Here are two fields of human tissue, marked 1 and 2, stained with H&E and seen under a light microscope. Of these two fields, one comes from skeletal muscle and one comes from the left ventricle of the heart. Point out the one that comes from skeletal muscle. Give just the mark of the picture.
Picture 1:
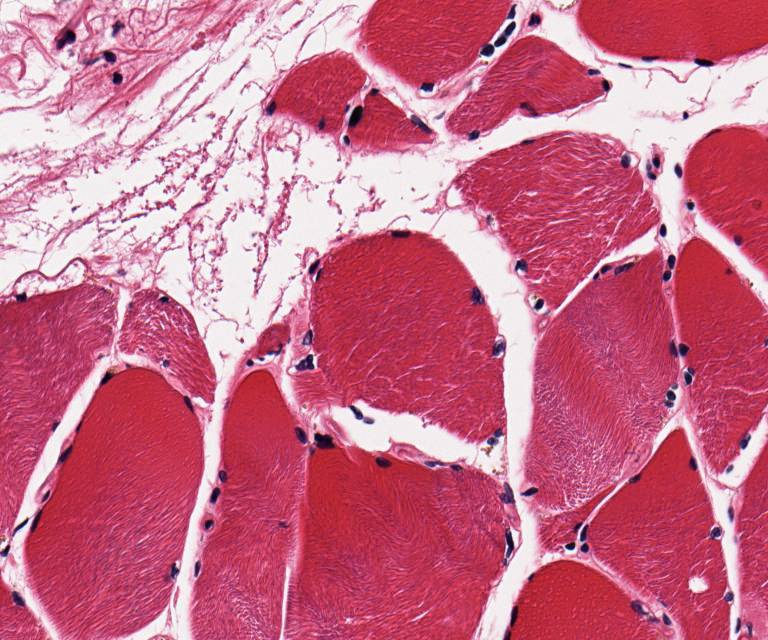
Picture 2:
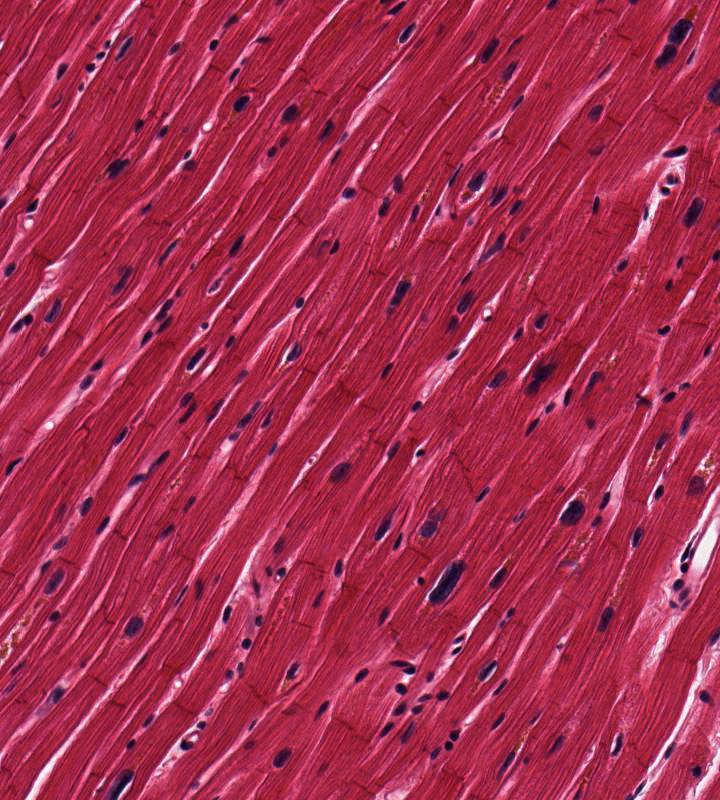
1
